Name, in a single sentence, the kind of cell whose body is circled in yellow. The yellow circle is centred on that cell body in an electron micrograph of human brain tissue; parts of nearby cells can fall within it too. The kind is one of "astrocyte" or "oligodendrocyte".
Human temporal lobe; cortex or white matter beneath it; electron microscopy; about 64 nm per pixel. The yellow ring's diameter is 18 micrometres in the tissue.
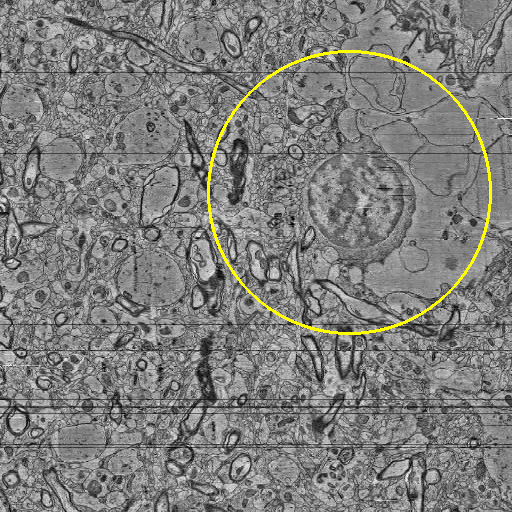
The circled cell body belongs to an oligodendrocyte.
